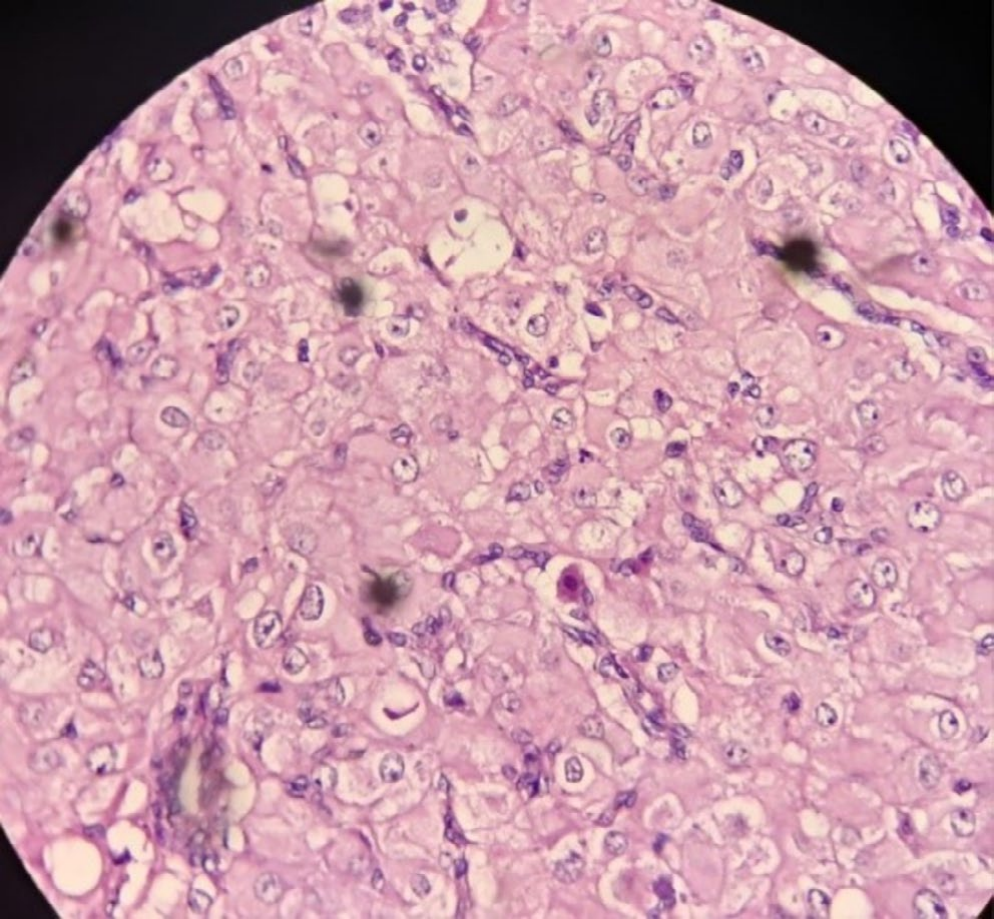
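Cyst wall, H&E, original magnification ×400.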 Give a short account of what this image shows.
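Large polygonal cells fill the field. They have abundant pale pink cytoplasm that is in many places bubbly or cleared by vacuoles, and round central nuclei with fine chromatin and distinct nucleoli. Thin capillary channels lined by small, dark, elongated nuclei weave between the cells, along with a few small dark round nuclei.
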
